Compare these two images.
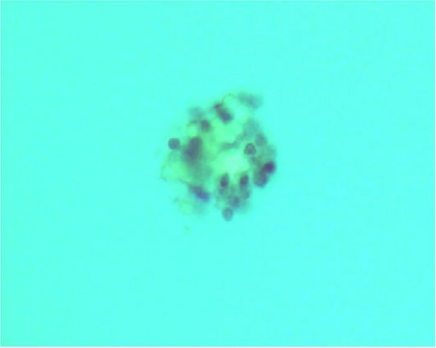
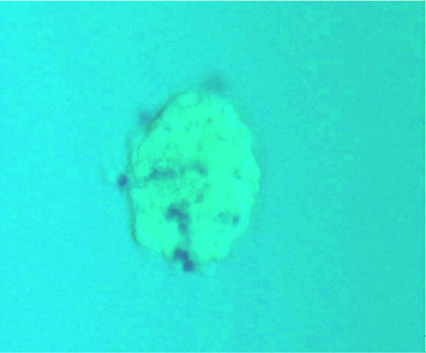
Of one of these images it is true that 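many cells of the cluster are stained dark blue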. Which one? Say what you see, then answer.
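The first image. First image: numerous dark blue round nuclei are spread throughout the cluster.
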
